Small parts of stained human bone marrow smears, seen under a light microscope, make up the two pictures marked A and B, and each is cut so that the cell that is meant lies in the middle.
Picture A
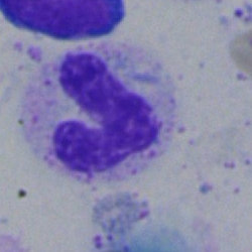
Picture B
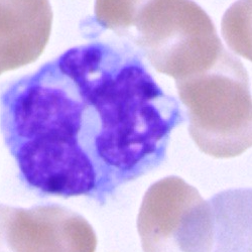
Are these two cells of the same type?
no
